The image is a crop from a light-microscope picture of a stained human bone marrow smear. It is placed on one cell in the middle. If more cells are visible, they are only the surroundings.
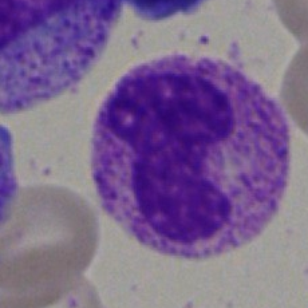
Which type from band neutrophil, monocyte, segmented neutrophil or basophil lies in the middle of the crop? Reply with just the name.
band neutrophil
